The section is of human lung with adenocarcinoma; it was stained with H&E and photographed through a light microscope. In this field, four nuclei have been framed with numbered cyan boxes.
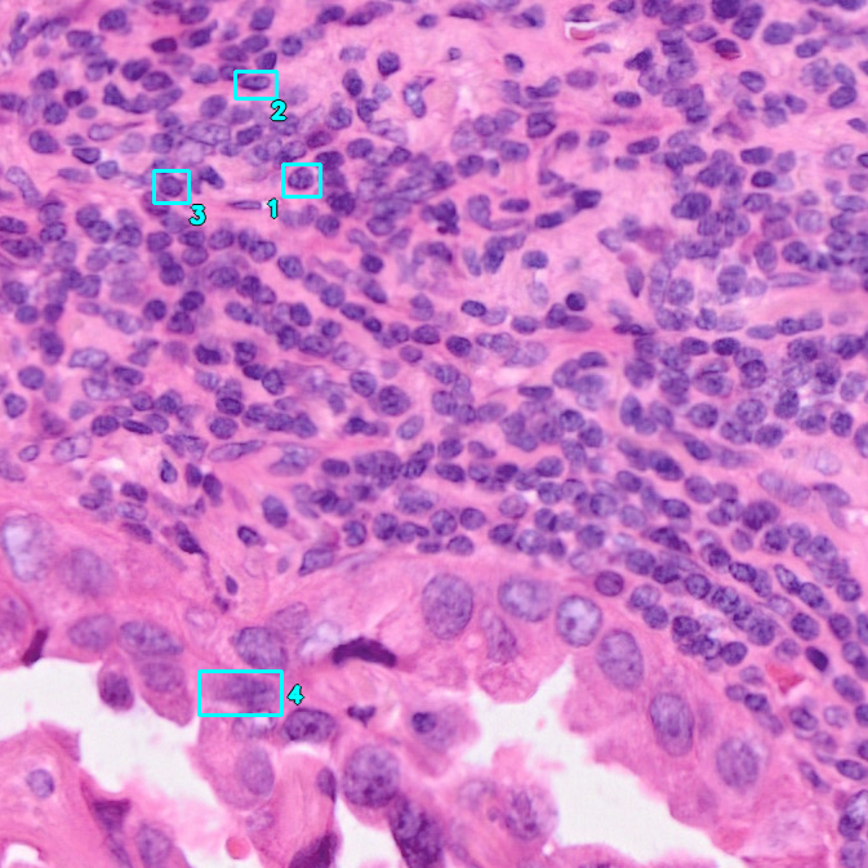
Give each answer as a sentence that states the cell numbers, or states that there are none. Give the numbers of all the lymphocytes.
The cells whose numbers are 1, 2 and 3 are lymphocytes.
